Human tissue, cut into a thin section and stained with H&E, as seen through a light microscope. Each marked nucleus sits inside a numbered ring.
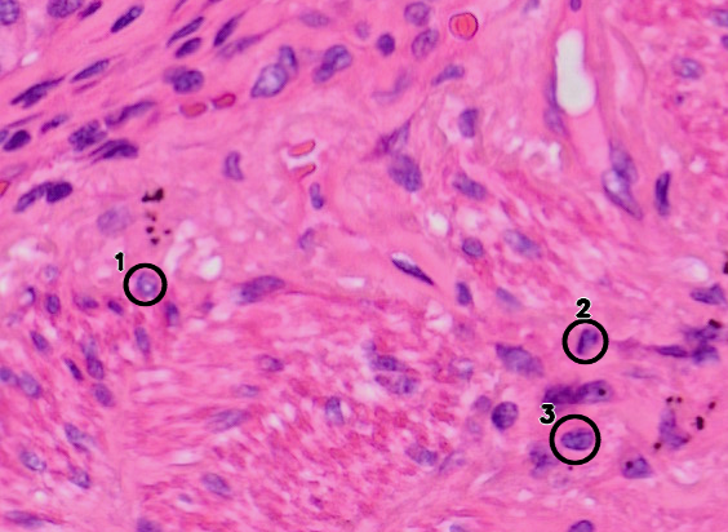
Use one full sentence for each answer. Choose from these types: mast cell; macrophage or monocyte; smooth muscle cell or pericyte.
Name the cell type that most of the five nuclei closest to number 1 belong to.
Smooth muscle cells or pericytes account for more than half of the five nuclei nearest to number 1.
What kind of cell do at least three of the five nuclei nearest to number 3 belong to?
The majority of the five nuclei closest to number 3 belong to macrophages or monocytes.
